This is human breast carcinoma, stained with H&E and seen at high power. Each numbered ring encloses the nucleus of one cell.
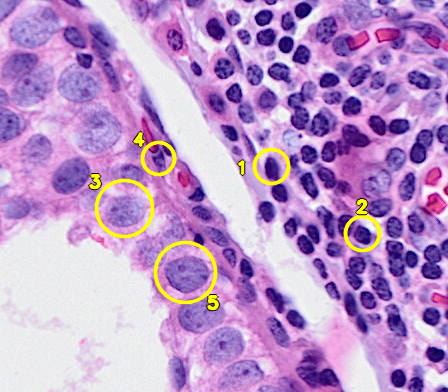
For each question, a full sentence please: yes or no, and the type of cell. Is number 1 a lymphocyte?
Yes, that one, number 1, is a lymphocyte.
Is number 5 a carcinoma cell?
Yes, it is a carcinoma cell that number 5 identifies.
